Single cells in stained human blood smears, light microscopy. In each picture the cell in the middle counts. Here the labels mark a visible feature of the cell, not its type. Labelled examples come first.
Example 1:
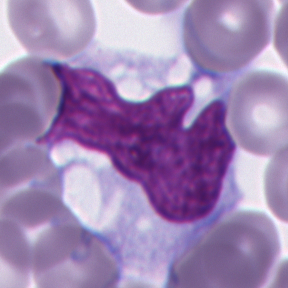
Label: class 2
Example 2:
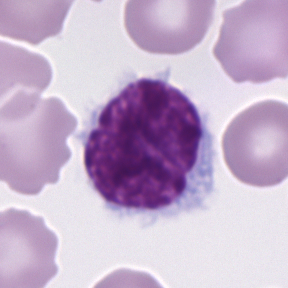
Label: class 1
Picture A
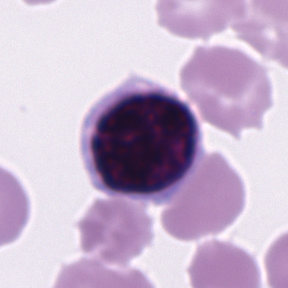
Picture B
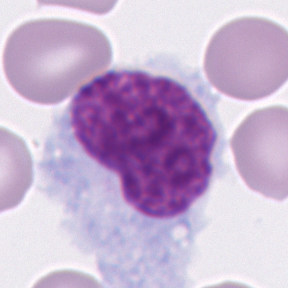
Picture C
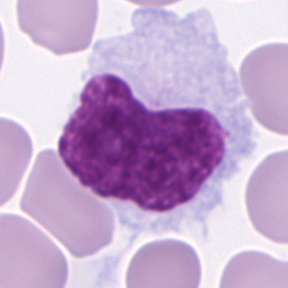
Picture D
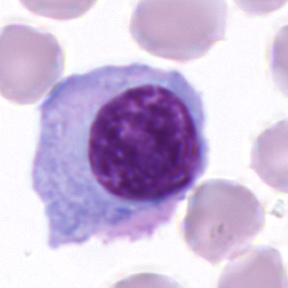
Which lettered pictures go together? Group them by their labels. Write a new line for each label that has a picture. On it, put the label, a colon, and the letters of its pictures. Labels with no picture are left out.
class 2: B, C, D
class 1: A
